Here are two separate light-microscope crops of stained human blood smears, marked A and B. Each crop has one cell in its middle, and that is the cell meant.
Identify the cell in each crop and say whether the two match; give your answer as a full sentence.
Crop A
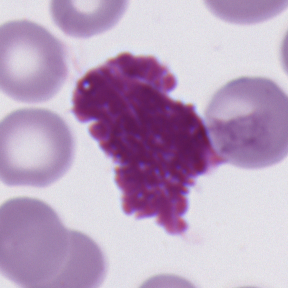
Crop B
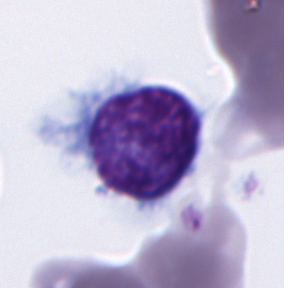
No, the cell centred in crop B is a hairy cell; crop A centres on a smudge cell.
